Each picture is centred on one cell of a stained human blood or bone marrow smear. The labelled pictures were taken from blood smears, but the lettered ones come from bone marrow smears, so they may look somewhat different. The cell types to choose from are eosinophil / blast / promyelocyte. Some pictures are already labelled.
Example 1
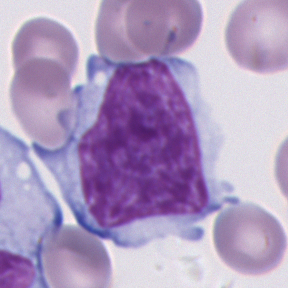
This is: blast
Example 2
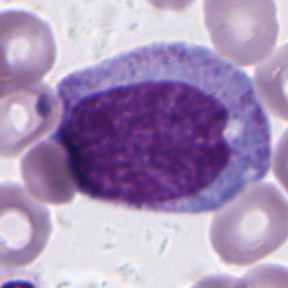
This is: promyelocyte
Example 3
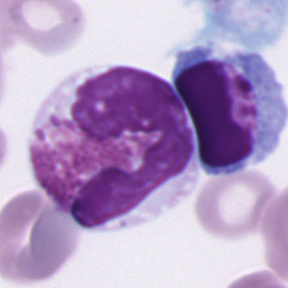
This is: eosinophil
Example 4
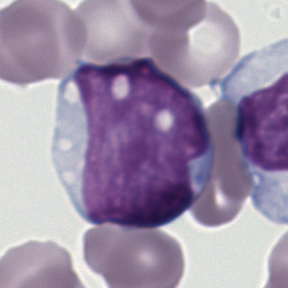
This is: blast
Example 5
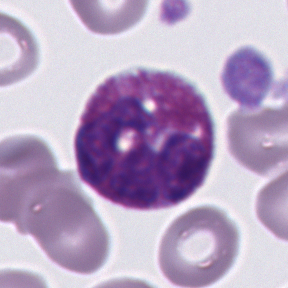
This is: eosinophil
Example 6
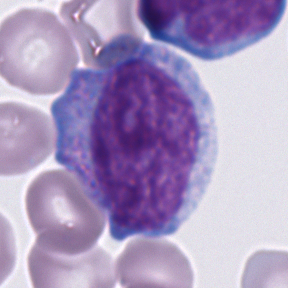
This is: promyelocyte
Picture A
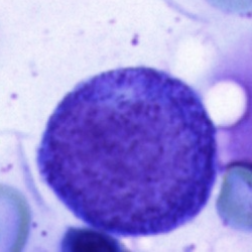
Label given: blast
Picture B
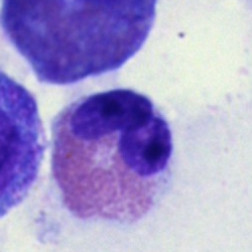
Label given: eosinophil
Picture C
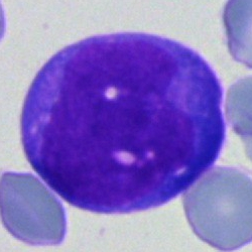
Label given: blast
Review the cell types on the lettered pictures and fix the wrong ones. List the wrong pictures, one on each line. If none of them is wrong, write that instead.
A is labelled blast; correct label: promyelocyte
